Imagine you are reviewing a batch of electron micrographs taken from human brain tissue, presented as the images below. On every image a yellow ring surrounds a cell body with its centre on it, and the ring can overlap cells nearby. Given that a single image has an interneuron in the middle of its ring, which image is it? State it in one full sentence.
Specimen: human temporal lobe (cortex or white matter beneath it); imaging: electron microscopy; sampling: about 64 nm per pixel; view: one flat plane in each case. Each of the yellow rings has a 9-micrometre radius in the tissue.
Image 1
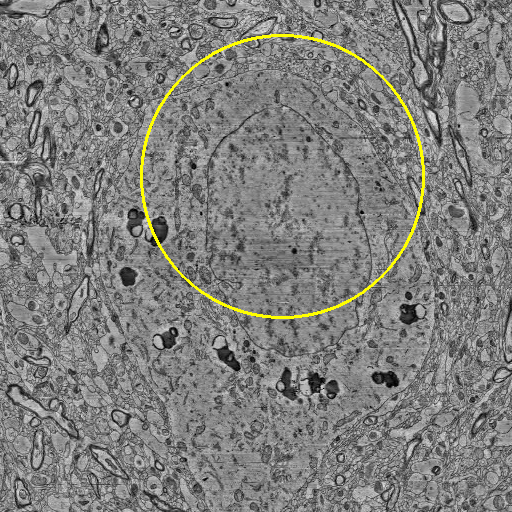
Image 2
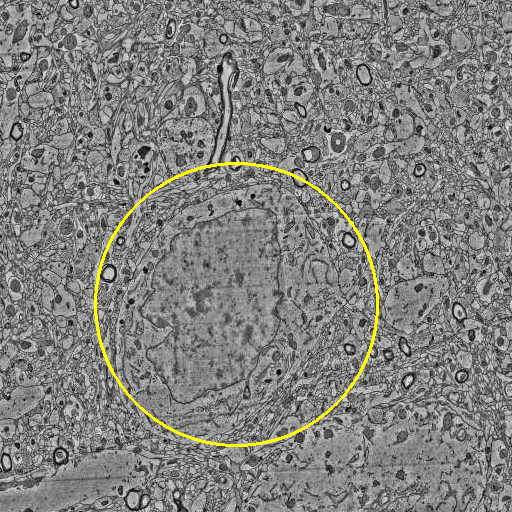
Of all the images, number 2 has the described cell at the centre of its ring.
